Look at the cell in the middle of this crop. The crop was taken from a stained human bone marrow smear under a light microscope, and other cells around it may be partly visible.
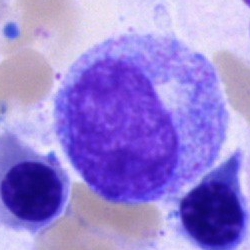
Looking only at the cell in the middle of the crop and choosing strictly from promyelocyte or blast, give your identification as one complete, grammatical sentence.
Classification of the middle cell gives a promyelocyte.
